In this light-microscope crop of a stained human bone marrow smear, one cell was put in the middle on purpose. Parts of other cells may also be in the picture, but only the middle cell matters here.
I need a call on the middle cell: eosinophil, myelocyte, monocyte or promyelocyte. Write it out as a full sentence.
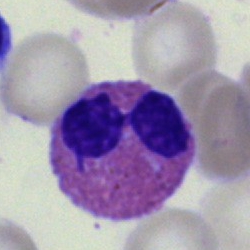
What sits at the centre of this crop is an eosinophil.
